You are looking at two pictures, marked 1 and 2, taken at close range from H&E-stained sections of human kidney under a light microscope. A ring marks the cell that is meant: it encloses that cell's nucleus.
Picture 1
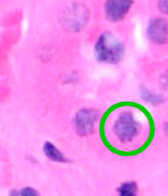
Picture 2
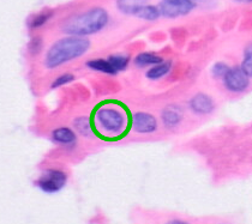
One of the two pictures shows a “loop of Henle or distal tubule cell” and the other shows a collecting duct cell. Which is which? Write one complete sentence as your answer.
Picture 2 shows a collecting duct cell, while picture 1 shows a “loop of Henle or distal tubule cell”.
